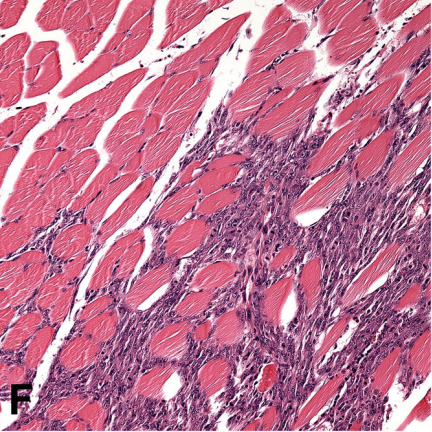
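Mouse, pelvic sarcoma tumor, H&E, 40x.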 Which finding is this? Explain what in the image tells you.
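Invasion of striated muscle. Bright pink muscle fibers lie across the field. Dense clusters of small, dark-nucleated tumor cells lie between and separate the muscle fibers.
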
